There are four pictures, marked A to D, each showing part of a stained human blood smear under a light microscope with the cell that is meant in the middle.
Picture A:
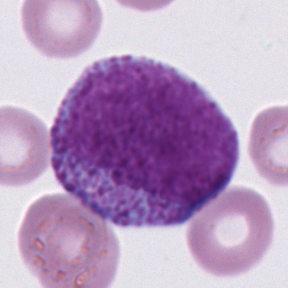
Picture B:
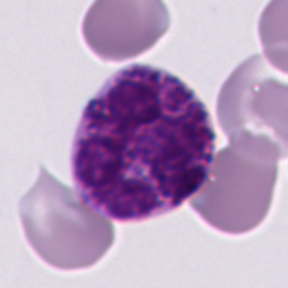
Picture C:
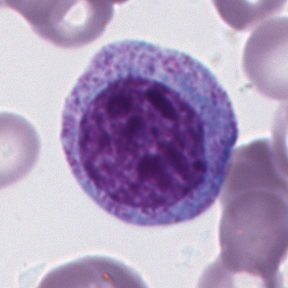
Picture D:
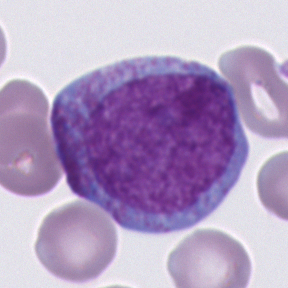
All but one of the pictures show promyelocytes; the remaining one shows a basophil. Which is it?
B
